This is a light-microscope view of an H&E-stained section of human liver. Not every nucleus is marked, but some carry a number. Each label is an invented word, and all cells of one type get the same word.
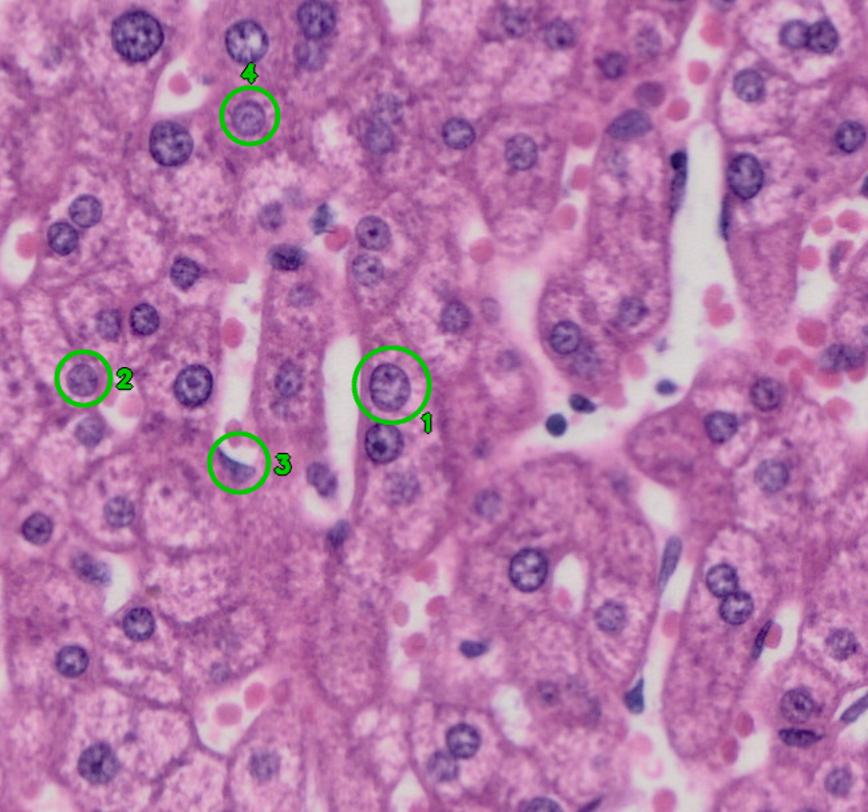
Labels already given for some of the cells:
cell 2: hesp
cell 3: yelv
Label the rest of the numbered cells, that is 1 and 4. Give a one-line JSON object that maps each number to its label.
{"1": "hesp", "4": "hesp"}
